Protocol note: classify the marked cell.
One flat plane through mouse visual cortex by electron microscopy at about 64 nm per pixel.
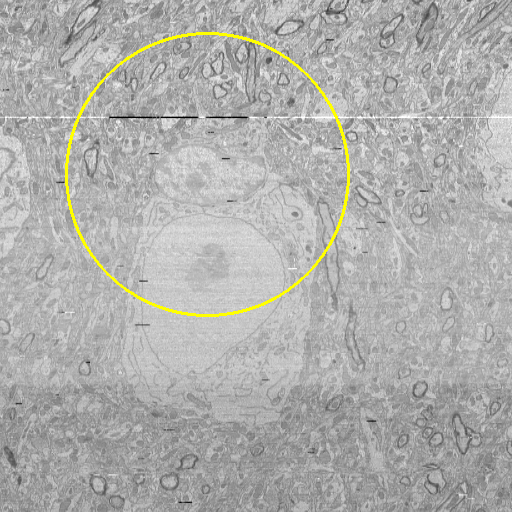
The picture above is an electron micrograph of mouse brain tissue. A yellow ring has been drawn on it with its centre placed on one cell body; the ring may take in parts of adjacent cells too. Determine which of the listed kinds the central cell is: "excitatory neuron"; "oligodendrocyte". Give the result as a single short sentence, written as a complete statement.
The central cell is an oligodendrocyte.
